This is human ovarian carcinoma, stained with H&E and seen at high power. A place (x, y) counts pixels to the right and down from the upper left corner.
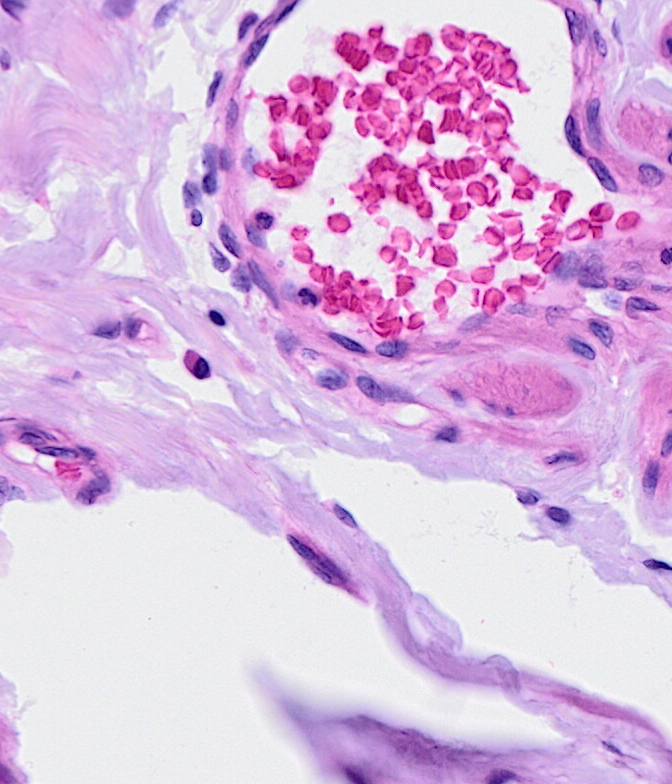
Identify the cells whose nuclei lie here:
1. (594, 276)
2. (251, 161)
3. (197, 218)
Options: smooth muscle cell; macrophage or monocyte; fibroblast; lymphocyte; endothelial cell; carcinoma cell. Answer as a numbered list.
1. endothelial cell
2. endothelial cell
3. lymphocyte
